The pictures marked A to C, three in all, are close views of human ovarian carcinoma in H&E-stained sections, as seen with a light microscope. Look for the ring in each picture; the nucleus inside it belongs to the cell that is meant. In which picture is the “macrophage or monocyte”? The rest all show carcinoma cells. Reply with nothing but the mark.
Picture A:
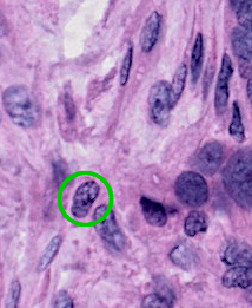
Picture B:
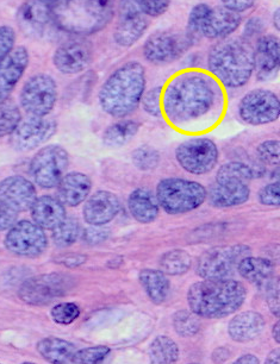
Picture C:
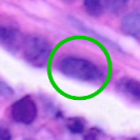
A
